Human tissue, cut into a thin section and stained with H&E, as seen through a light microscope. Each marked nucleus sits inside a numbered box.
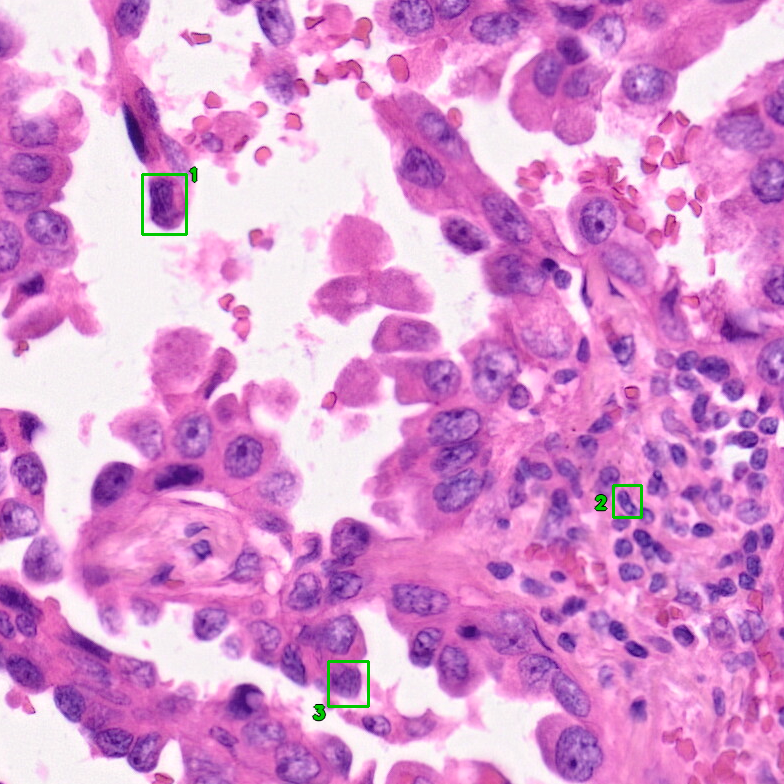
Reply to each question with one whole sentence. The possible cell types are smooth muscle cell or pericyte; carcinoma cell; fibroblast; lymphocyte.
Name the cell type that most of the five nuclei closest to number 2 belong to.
Lymphocytes make up most of the five nuclei closest to number 2.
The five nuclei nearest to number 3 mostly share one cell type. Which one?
The majority of the five nuclei closest to number 3 belong to carcinoma cells.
